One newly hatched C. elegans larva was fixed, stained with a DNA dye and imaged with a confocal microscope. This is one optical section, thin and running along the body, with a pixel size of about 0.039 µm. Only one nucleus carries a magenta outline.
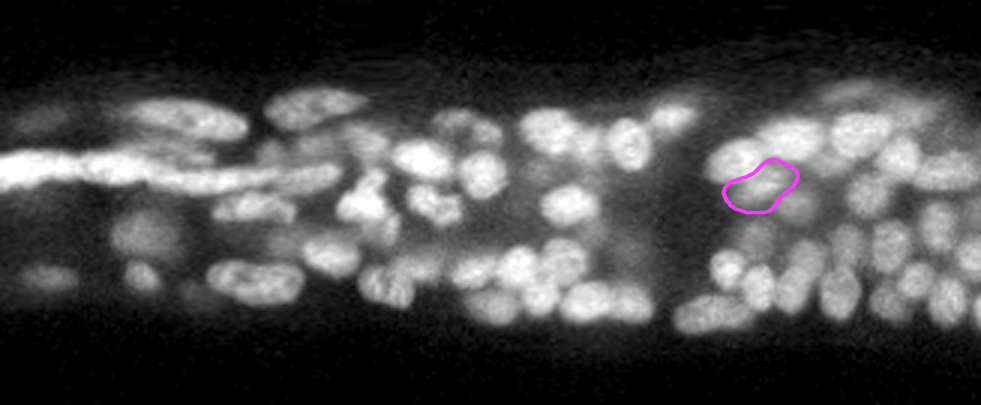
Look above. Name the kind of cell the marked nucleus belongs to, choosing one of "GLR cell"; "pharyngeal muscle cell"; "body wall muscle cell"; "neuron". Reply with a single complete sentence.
What is marked is the nucleus of a GLR cell.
